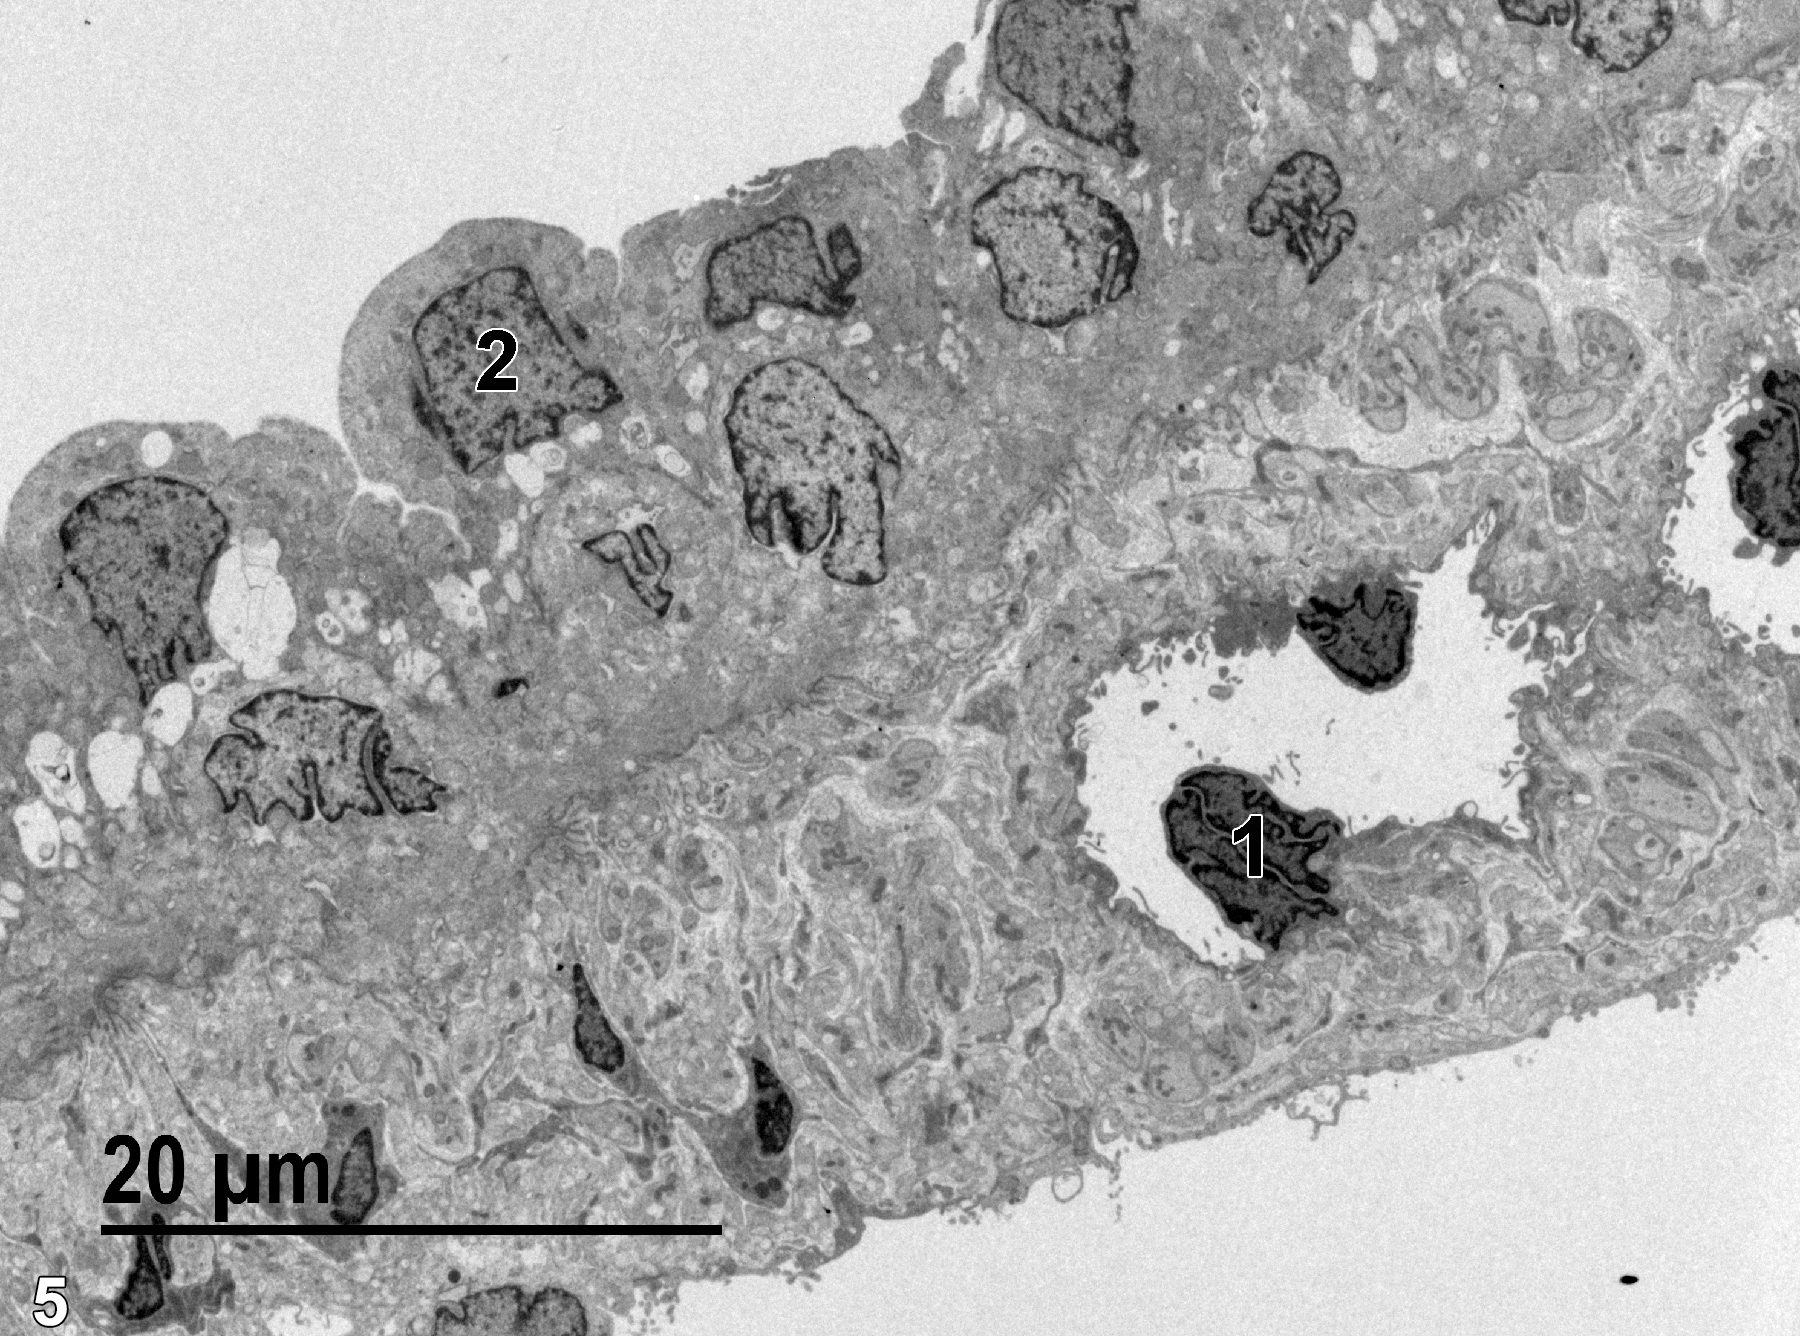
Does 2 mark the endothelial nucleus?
No, it marks the nucleus; the endothelial nucleus is at 1.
